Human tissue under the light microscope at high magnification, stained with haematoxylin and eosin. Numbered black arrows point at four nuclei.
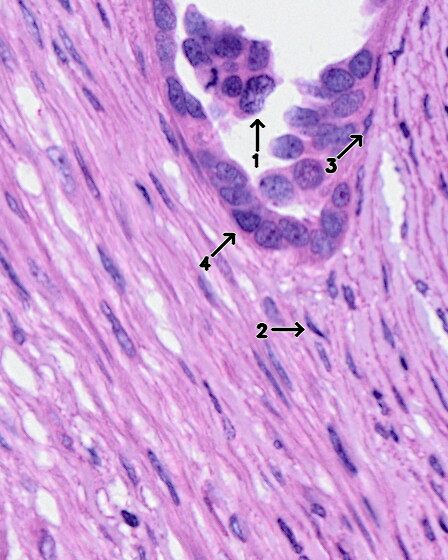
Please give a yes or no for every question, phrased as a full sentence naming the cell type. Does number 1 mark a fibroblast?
No, for cell 1, the correct identification is a carcinoma cell instead of a fibroblast.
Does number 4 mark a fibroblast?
No, the cell under number 4 is a carcinoma cell instead of a fibroblast.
